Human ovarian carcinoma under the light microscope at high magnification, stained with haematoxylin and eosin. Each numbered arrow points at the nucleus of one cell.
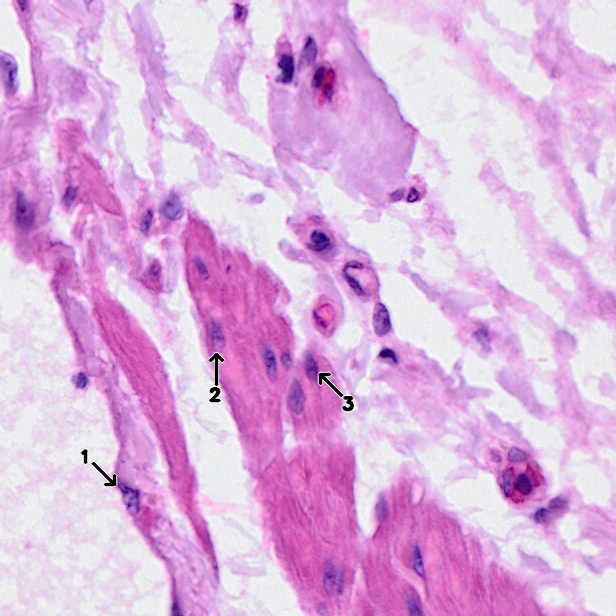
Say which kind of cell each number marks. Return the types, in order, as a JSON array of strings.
["endothelial cell", "smooth muscle cell", "smooth muscle cell"]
